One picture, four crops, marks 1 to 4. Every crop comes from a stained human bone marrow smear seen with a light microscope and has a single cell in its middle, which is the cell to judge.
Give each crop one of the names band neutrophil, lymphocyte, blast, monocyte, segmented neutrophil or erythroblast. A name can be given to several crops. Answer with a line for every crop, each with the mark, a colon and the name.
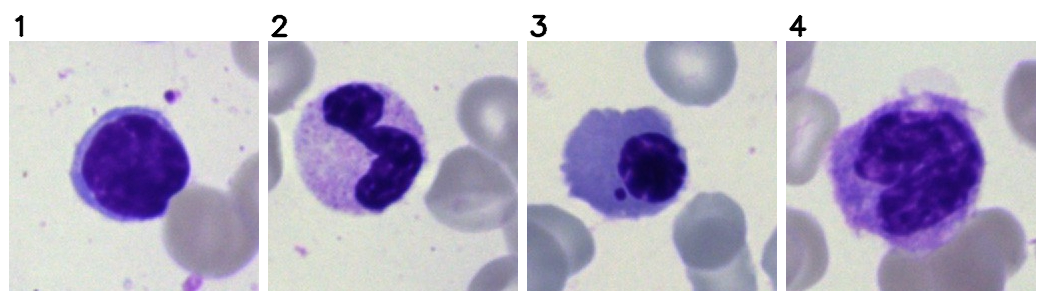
1: lymphocyte
2: segmented neutrophil
3: erythroblast
4: monocyte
